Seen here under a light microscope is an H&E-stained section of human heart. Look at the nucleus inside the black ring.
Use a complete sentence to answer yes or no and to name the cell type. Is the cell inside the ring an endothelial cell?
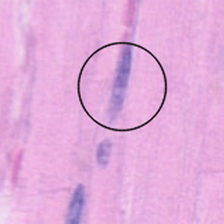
Yes, it is accurate to say that the cell inside the ring is an endothelial cell.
